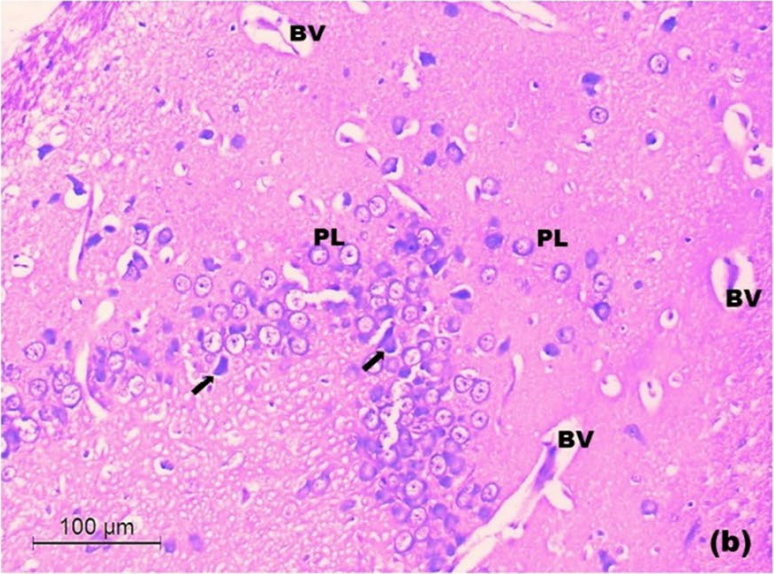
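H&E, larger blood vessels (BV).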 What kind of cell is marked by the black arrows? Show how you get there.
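Apoptotic pyramidal neurons. The arrowed cells are small, dark purple and angular. Neighbouring neurons are larger and rounded with pale nuclei and distinct nucleoli.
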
